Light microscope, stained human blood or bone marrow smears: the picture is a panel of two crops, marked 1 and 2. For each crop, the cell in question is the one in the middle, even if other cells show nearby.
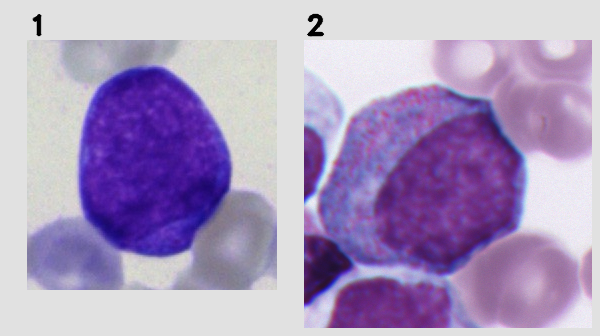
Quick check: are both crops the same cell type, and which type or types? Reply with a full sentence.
No, the cell centred in crop 1 is a blast, and that centred in crop 2 is a promyelocyte.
